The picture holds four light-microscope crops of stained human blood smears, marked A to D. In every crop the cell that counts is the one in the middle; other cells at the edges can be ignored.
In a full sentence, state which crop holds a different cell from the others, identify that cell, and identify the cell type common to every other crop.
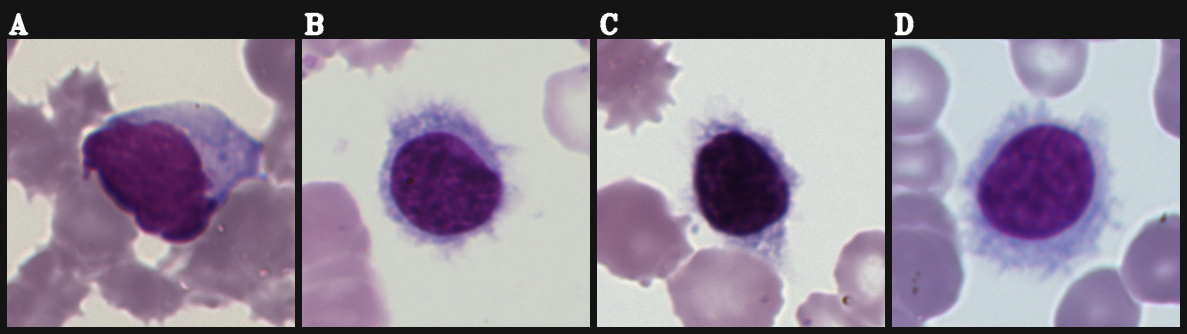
The single exception is crop A, which is a myeloblast; all other crops show hairy cells.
